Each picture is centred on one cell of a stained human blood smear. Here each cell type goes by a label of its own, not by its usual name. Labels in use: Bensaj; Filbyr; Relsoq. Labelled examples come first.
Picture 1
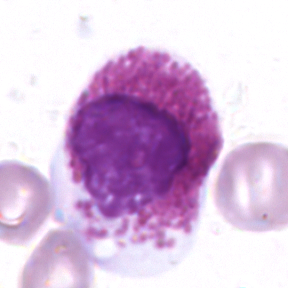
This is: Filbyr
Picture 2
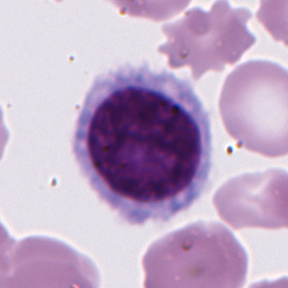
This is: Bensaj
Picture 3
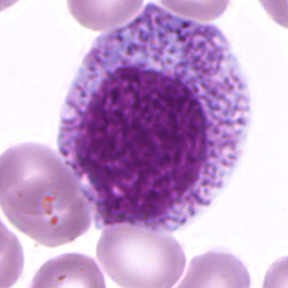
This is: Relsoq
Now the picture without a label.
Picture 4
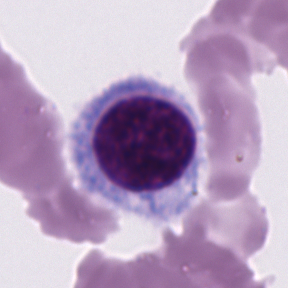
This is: Bensaj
